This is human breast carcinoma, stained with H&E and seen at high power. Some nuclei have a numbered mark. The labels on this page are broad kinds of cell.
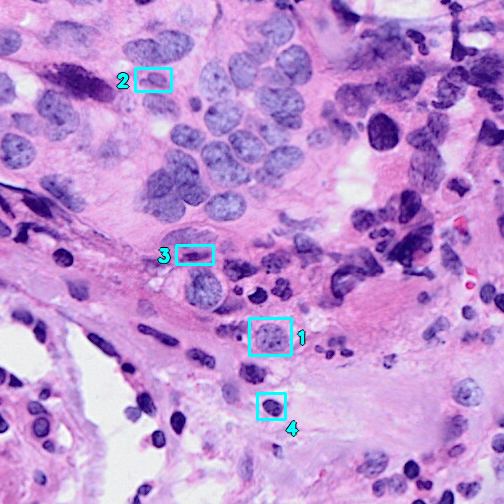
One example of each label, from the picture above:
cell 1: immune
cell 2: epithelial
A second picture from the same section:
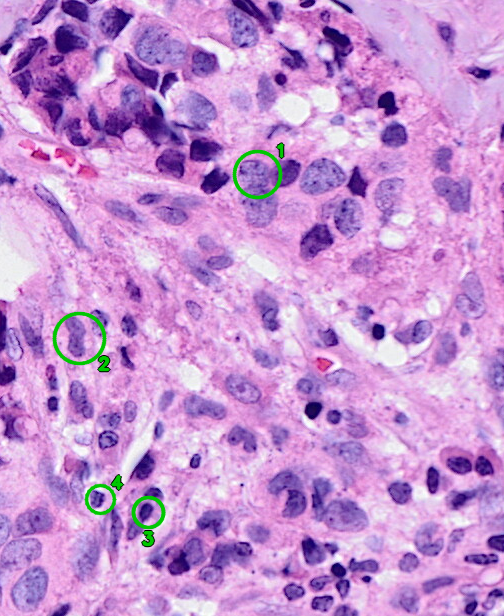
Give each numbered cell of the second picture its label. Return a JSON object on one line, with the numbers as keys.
{"1": "epithelial", "2": "immune", "3": "immune", "4": "immune"}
